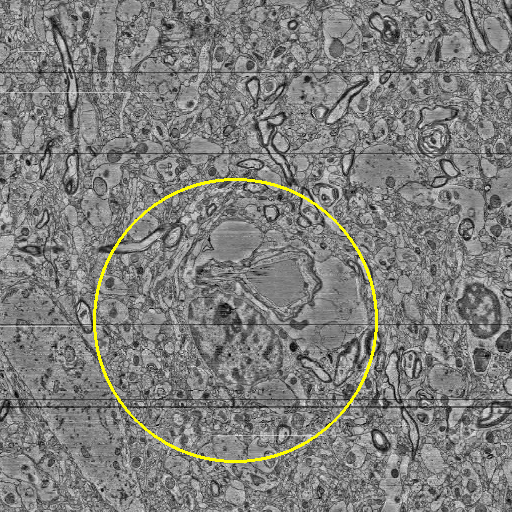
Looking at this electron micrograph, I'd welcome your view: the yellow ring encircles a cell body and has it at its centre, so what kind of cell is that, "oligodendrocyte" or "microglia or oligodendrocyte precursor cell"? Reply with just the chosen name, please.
oligodendrocyte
